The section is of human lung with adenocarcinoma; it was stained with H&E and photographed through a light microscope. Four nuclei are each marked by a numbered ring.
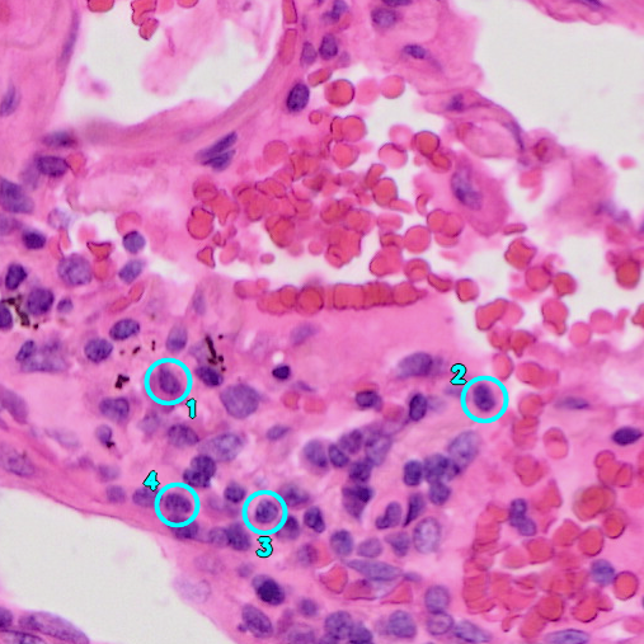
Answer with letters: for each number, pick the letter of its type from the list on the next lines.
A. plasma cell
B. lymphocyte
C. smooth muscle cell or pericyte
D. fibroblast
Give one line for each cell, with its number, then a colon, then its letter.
1: A
2: B
3: B
4: B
